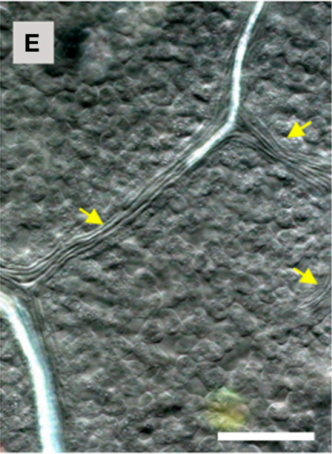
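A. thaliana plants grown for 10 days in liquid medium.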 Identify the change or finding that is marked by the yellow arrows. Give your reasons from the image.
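Veins without visible xylem vessels. The arrowed strands are bundles of narrow elongated cells. Other veins in the field are bright and thick-walled, the arrowed ones are not.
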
